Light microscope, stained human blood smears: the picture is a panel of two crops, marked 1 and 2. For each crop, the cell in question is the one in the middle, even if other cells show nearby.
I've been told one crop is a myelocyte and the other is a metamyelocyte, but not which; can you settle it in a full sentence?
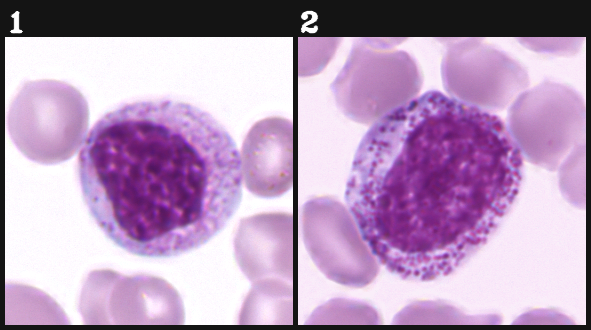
Crop 1 displays a metamyelocyte, and crop 2 displays a myelocyte.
